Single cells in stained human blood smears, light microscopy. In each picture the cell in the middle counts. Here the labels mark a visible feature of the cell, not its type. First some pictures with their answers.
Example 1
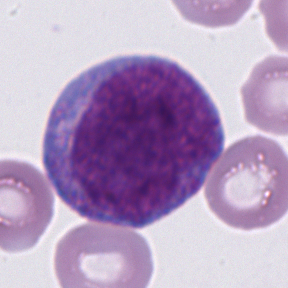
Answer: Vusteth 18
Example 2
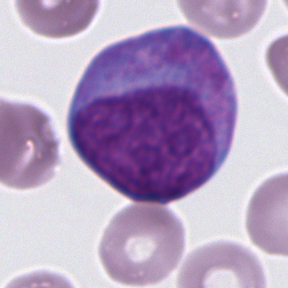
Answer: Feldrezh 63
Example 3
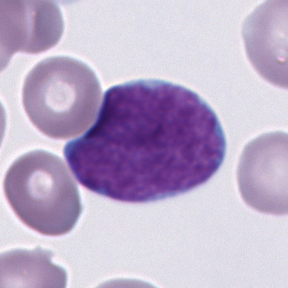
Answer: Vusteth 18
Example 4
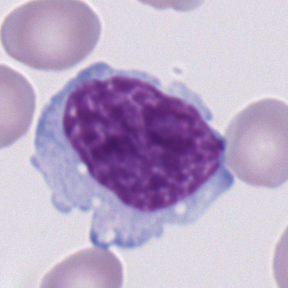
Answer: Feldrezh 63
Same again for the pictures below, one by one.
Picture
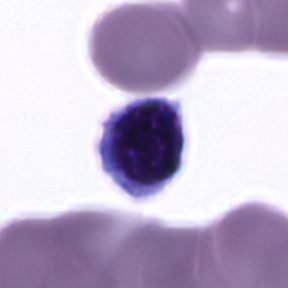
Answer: Vusteth 18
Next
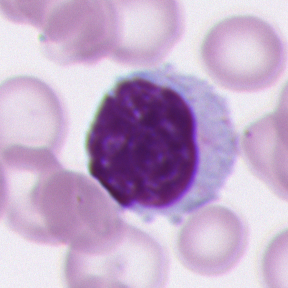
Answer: Feldrezh 63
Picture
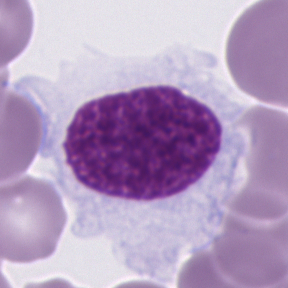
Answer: Feldrezh 63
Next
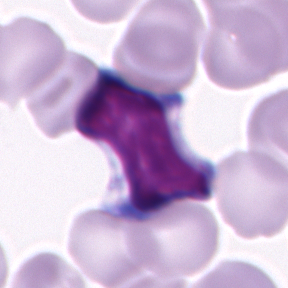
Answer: Vusteth 18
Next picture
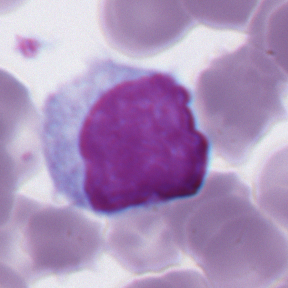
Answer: Feldrezh 63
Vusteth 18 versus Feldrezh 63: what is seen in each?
Vusteth 18: scant cytoplasm; Feldrezh 63: abundant cytoplasm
